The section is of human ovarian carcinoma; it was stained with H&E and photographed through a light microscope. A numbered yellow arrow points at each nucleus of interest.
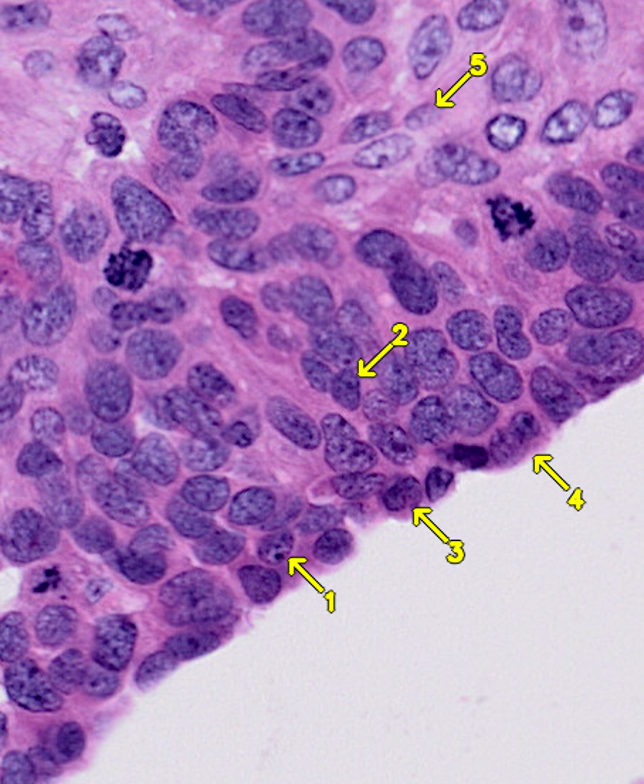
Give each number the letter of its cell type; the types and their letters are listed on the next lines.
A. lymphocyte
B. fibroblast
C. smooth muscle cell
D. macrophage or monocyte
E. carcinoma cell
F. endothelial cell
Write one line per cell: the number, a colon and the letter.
1: D
2: E
3: E
4: E
5: B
